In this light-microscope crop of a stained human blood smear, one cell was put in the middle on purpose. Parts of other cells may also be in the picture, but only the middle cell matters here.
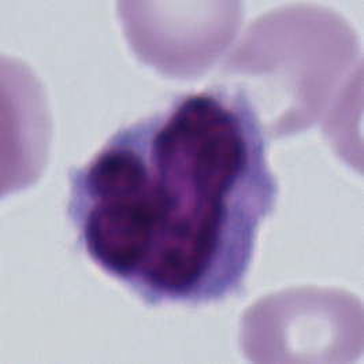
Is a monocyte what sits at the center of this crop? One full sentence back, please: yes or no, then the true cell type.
Yes, the cell at the middle of the field is to be classed as a monocyte.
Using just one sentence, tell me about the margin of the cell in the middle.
Irregularity marks the cell border, whether as raggedness or as projections.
